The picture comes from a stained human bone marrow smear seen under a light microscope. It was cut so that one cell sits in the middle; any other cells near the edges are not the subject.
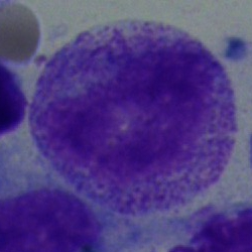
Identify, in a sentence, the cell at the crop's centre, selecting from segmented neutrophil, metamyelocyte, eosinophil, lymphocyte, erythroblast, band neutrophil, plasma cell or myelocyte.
The cell centred in this crop is categorized as a myelocyte.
